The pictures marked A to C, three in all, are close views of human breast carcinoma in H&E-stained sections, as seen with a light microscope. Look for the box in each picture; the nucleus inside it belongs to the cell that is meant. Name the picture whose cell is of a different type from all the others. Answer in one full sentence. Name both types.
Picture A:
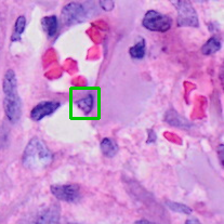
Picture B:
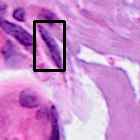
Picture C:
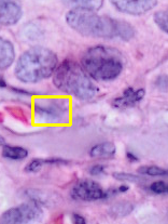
The different one is picture B; it shows a fibroblast, whereas all the others show endothelial cells.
